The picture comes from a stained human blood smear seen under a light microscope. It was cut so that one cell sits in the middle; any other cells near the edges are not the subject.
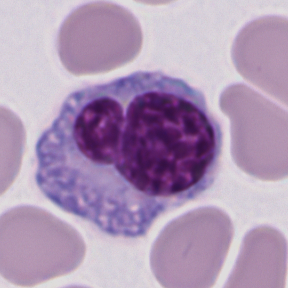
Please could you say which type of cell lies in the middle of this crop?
plasma cell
